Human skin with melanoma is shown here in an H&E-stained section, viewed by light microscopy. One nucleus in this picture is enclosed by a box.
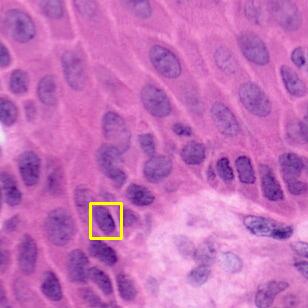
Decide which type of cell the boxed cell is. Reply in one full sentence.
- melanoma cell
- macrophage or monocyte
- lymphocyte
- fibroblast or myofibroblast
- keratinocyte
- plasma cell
On this particular slide, the boxed cell is a keratinocyte.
